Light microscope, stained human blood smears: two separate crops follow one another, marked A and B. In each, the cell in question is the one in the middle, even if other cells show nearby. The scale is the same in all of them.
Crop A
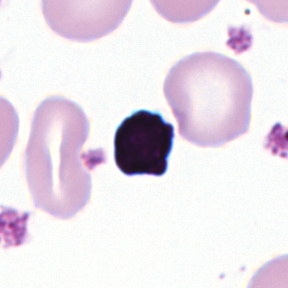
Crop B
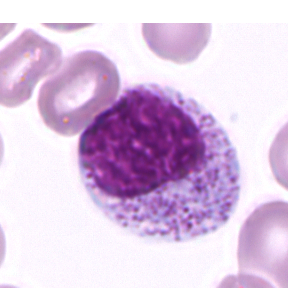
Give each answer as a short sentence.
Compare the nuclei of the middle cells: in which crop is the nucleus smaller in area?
The nucleus in crop A is smaller; the one in crop B has about 3 times its area.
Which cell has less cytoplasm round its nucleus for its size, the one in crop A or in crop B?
It is the cell in crop A that is filled more by its nucleus.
